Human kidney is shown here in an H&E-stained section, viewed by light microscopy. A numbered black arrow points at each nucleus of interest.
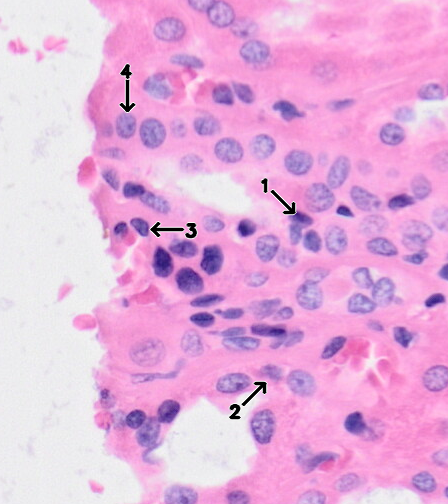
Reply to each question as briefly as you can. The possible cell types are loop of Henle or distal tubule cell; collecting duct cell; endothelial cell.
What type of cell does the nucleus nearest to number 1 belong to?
collecting duct cell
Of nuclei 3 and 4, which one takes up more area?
4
